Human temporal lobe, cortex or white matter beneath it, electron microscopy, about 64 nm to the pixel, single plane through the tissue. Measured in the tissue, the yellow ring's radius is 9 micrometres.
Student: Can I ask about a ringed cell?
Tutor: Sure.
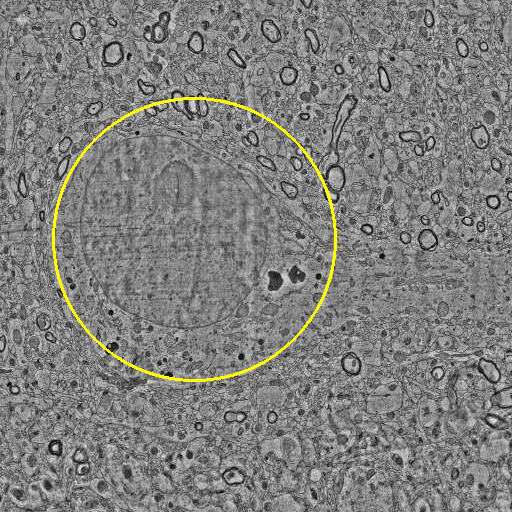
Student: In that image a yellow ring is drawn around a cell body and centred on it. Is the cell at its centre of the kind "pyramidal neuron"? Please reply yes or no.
Yes, the cell is of that kind.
